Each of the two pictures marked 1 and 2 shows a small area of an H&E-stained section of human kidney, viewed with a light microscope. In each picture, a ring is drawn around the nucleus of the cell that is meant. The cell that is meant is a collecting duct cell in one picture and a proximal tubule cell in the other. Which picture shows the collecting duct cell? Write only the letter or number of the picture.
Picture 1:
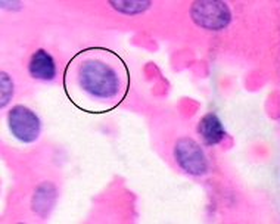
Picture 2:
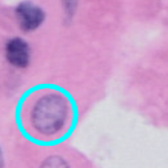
1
